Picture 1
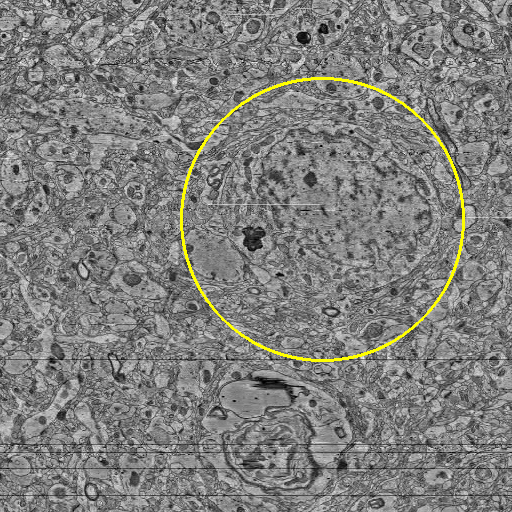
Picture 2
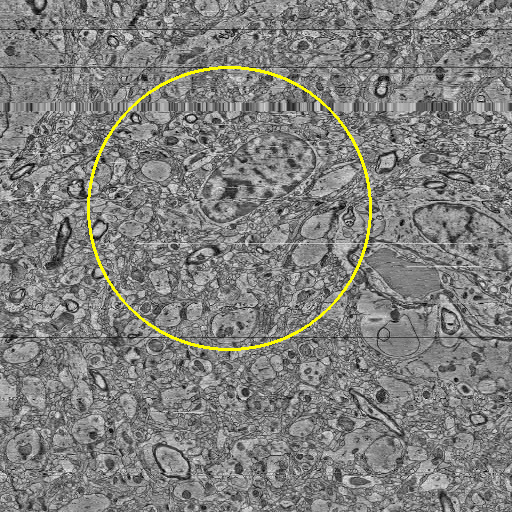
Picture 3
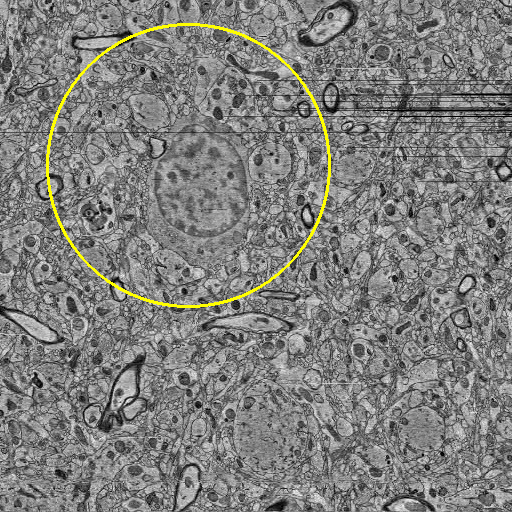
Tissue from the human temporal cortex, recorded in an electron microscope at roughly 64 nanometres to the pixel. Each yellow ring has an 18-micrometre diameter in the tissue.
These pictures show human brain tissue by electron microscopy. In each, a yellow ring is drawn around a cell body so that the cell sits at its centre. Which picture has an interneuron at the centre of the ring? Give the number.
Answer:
1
